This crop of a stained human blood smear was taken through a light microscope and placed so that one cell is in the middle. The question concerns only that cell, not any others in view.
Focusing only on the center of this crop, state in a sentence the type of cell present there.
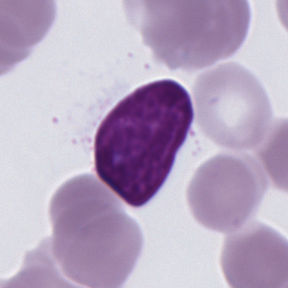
The cell centered in this field of view is a smudge cell.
